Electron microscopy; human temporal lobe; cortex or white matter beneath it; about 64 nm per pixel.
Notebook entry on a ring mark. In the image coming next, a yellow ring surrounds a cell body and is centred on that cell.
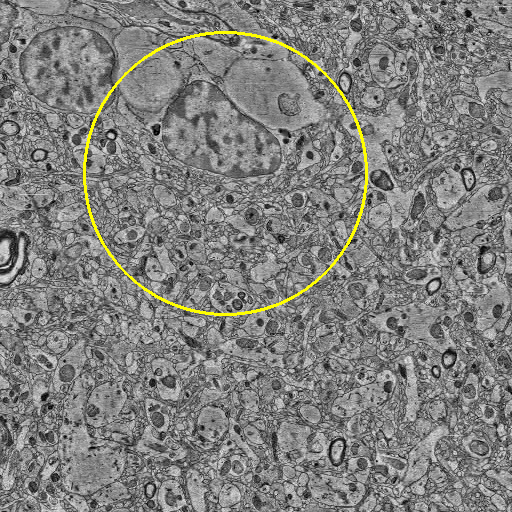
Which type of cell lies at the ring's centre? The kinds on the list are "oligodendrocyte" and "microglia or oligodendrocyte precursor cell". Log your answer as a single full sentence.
Centred in the yellow ring is a microglial cell or oligodendrocyte precursor cell, the cell recorded for this image.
